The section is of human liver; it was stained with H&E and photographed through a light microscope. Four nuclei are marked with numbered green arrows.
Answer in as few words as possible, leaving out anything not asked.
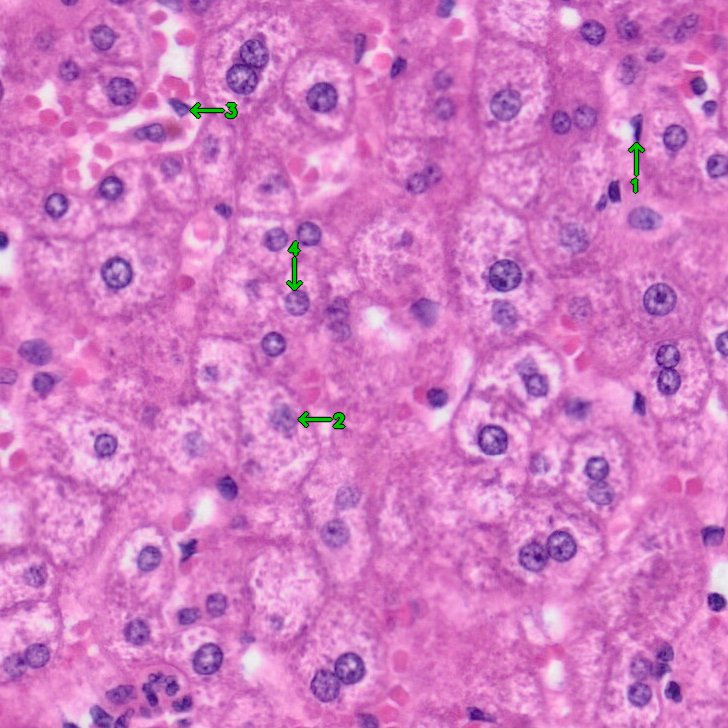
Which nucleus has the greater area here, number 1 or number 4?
4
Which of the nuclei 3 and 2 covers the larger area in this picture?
2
